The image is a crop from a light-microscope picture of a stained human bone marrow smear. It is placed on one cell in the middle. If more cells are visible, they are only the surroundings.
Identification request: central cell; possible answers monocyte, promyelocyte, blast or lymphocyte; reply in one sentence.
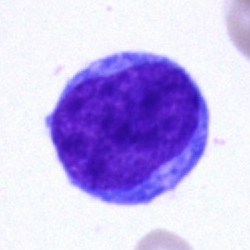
Framed in the middle of the crop is a blast.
